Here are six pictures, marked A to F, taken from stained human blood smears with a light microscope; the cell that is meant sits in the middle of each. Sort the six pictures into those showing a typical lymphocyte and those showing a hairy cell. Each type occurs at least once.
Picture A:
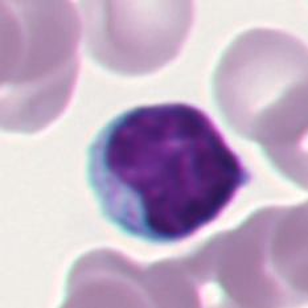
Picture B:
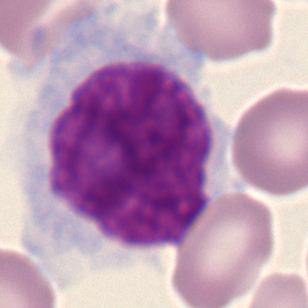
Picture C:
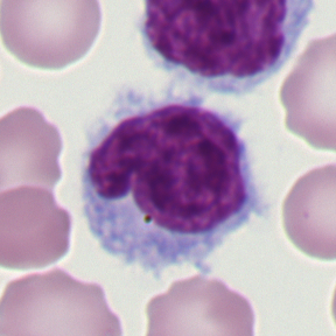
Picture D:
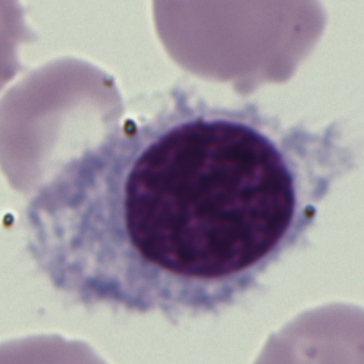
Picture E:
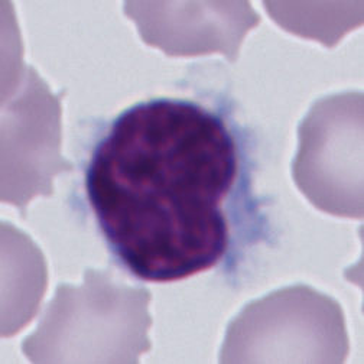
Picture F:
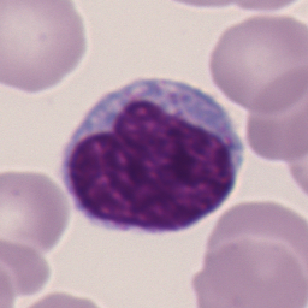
A: typical lymphocyte
B: hairy cell
C: hairy cell
D: hairy cell
E: hairy cell
F: typical lymphocyte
